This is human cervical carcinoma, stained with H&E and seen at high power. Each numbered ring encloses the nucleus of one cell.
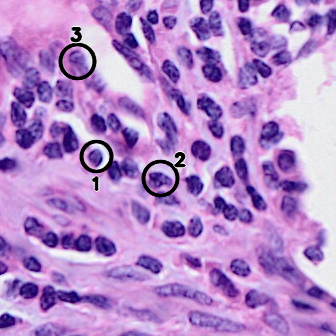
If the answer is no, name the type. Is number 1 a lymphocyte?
Yes.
